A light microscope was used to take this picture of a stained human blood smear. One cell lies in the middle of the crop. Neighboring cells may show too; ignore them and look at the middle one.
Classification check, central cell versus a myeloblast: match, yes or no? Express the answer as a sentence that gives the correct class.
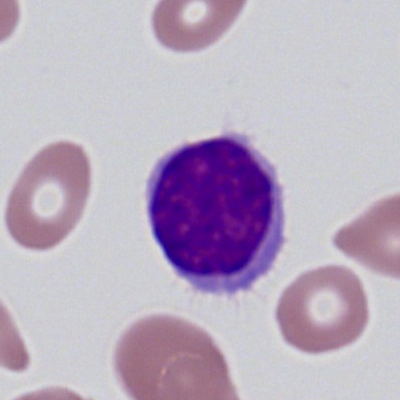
No, the central cell is classed as a lymphocyte and not as a myeloblast.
